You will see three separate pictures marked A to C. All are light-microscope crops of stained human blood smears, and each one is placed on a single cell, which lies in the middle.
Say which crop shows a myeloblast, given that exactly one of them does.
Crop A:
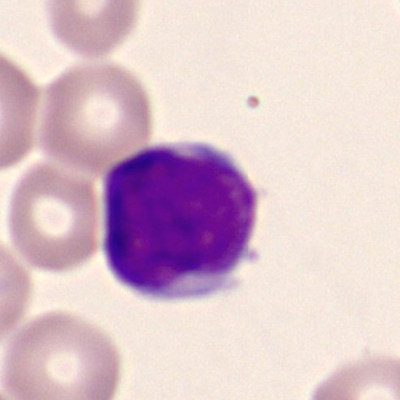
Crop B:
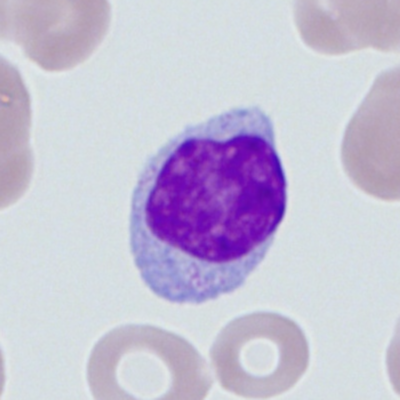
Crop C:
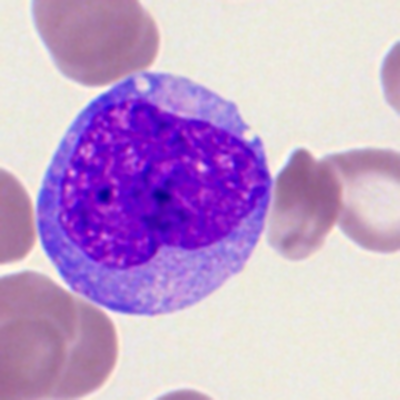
A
